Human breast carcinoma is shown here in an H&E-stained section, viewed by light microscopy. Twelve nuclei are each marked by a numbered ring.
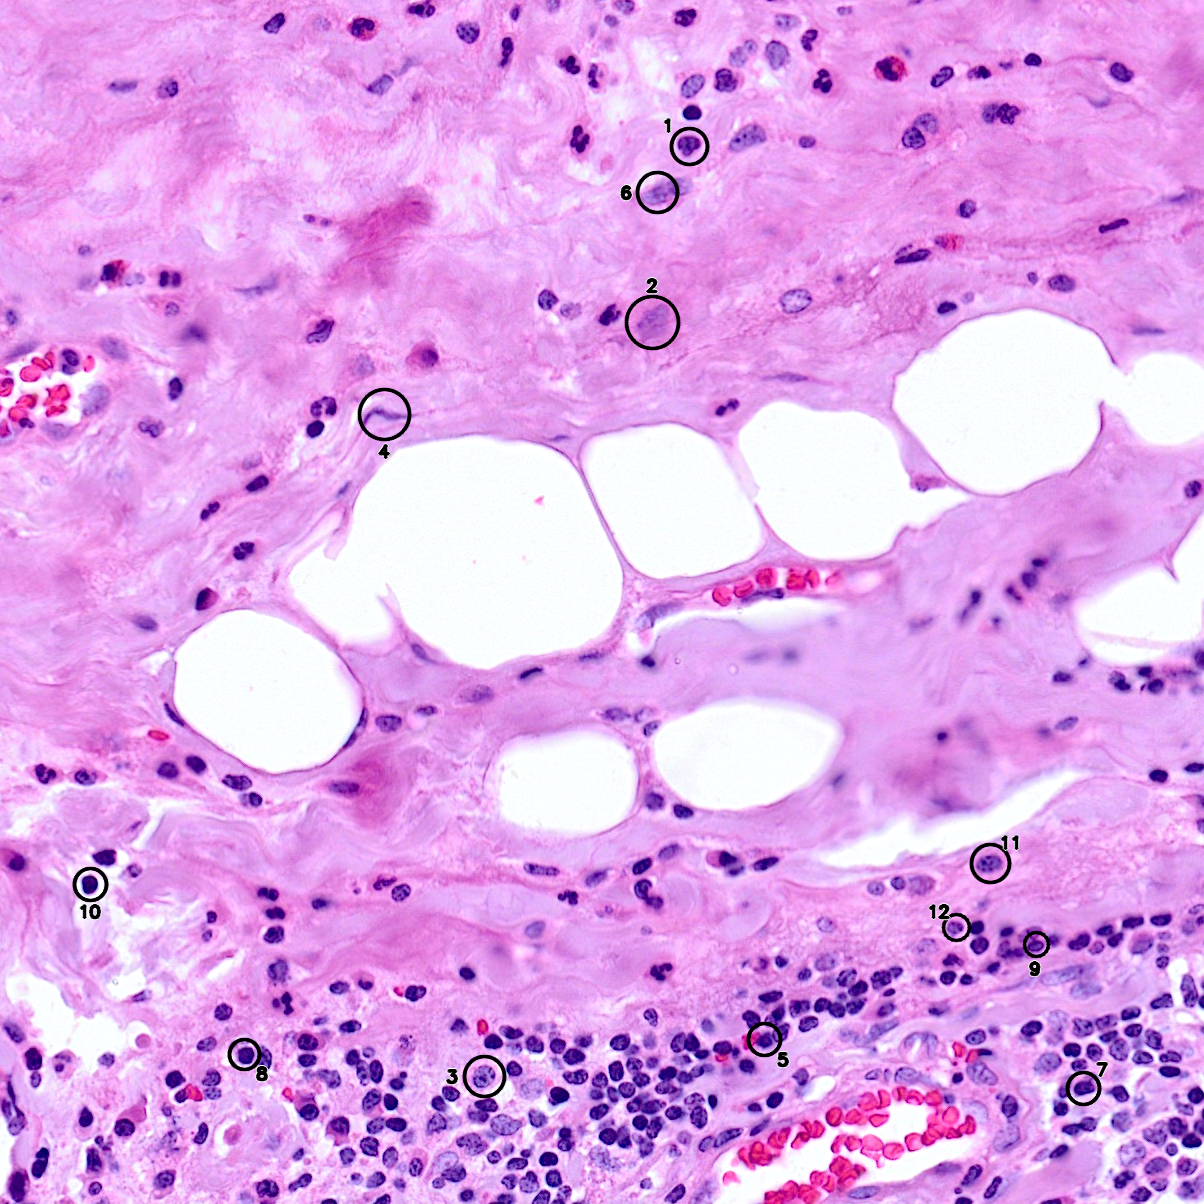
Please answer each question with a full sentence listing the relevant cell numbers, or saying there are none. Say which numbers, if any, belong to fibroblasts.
Identification: the cells with numbers 2, 4 and 6 are fibroblasts.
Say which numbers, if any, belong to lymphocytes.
The cells carrying the numbers 1, 5, 7, 8, 9, 10 and 12 are lymphocytes.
